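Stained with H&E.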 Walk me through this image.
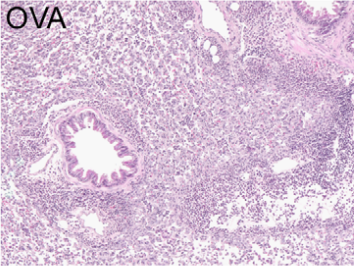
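A bronchiole with a folded, pink-staining epithelial lining sits in the lower left, and the tissue around it is packed with dense sheets of small cells with purple nuclei. The normal lacy pattern of thin-walled alveoli is almost entirely lost, with only a few small air spaces left. The infiltrate spreads widely across the field, surrounding airways and vessels, and a few larger empty spaces appear near the top.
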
